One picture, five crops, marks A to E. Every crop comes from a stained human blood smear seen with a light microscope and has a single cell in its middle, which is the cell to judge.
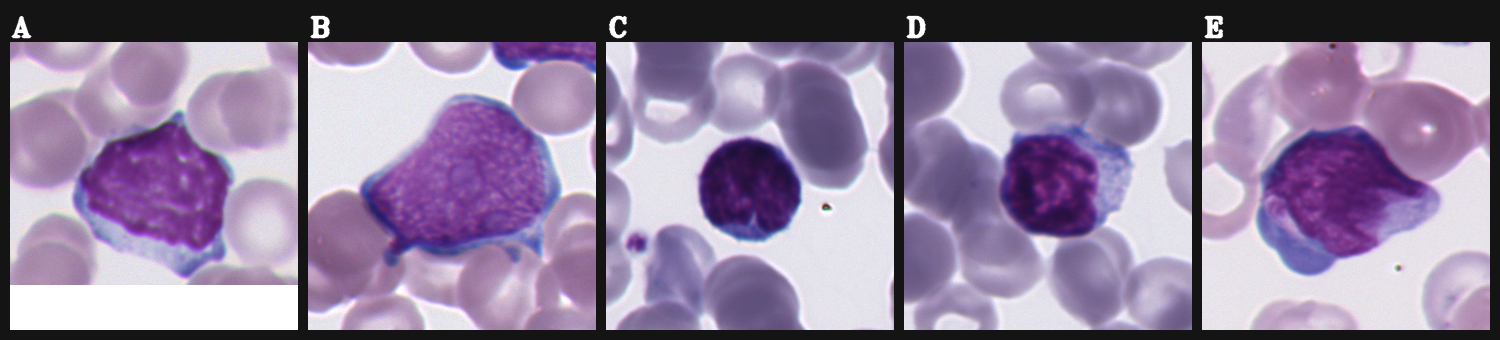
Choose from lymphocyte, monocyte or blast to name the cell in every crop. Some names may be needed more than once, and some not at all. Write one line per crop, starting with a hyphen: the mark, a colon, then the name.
- A: lymphocyte
- B: blast
- C: lymphocyte
- D: lymphocyte
- E: blast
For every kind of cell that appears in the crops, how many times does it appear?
lymphocyte: 3
blast: 2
